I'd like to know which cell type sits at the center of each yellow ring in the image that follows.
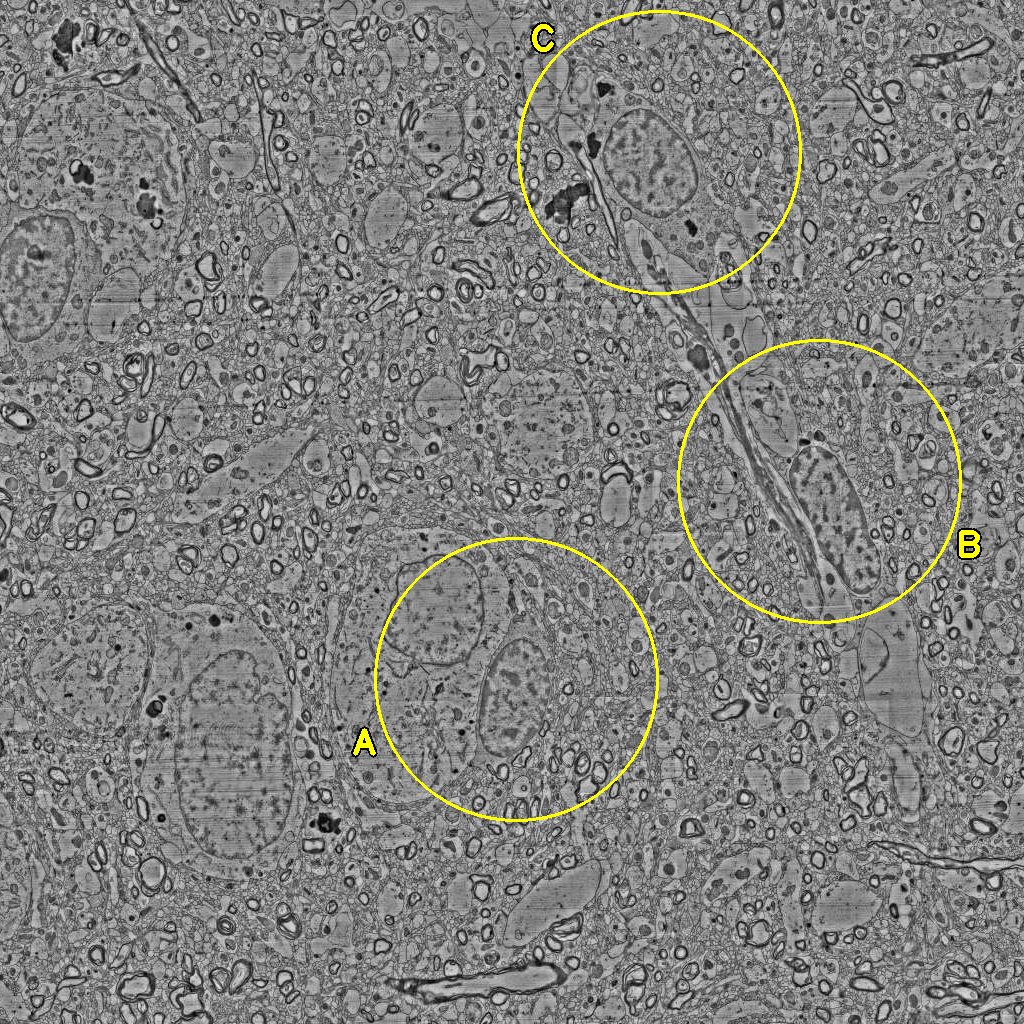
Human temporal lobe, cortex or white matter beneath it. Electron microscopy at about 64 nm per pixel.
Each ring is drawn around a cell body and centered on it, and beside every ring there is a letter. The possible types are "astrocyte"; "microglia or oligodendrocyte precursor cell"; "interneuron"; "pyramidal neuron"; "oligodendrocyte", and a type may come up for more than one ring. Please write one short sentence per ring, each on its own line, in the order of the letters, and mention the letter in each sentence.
The cell at the center of ring A is an oligodendrocyte.
The cell at the center of ring B is a microglial cell or oligodendrocyte precursor cell.
The cell at the center of ring C is an oligodendrocyte.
